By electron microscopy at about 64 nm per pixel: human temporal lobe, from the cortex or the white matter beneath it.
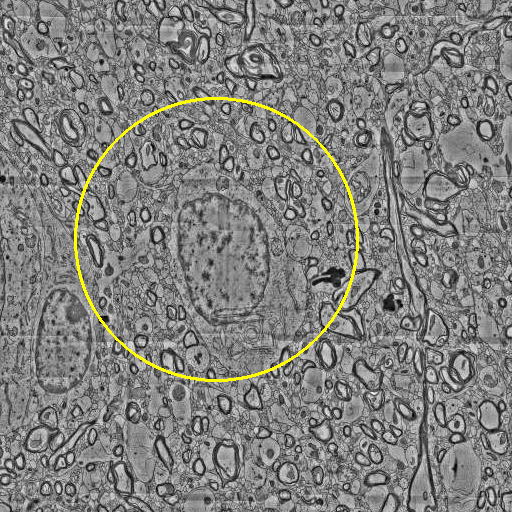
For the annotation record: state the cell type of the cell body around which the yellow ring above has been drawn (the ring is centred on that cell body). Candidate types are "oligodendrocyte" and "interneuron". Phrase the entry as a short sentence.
The ringed cell is an interneuron.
